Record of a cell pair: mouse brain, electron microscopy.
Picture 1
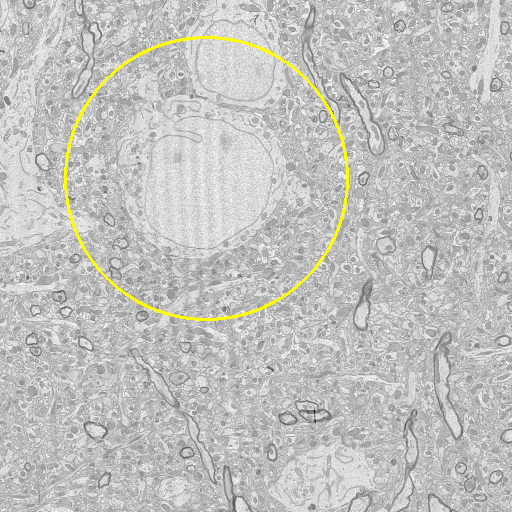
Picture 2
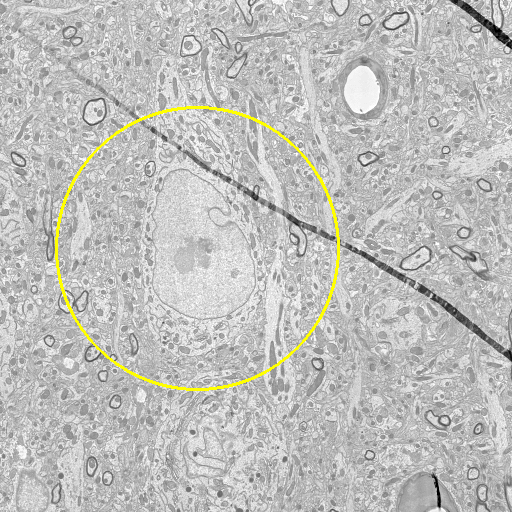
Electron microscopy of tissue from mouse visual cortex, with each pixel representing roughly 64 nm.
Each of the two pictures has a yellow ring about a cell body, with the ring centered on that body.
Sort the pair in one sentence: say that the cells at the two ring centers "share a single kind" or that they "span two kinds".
The cells centered in the rings of Pictures 1 and 2 span two kinds.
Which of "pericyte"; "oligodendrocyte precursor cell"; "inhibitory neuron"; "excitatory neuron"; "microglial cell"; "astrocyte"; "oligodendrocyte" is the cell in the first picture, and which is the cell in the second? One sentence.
The two differ: the first cell is an excitatory neuron and the second is an inhibitory neuron.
